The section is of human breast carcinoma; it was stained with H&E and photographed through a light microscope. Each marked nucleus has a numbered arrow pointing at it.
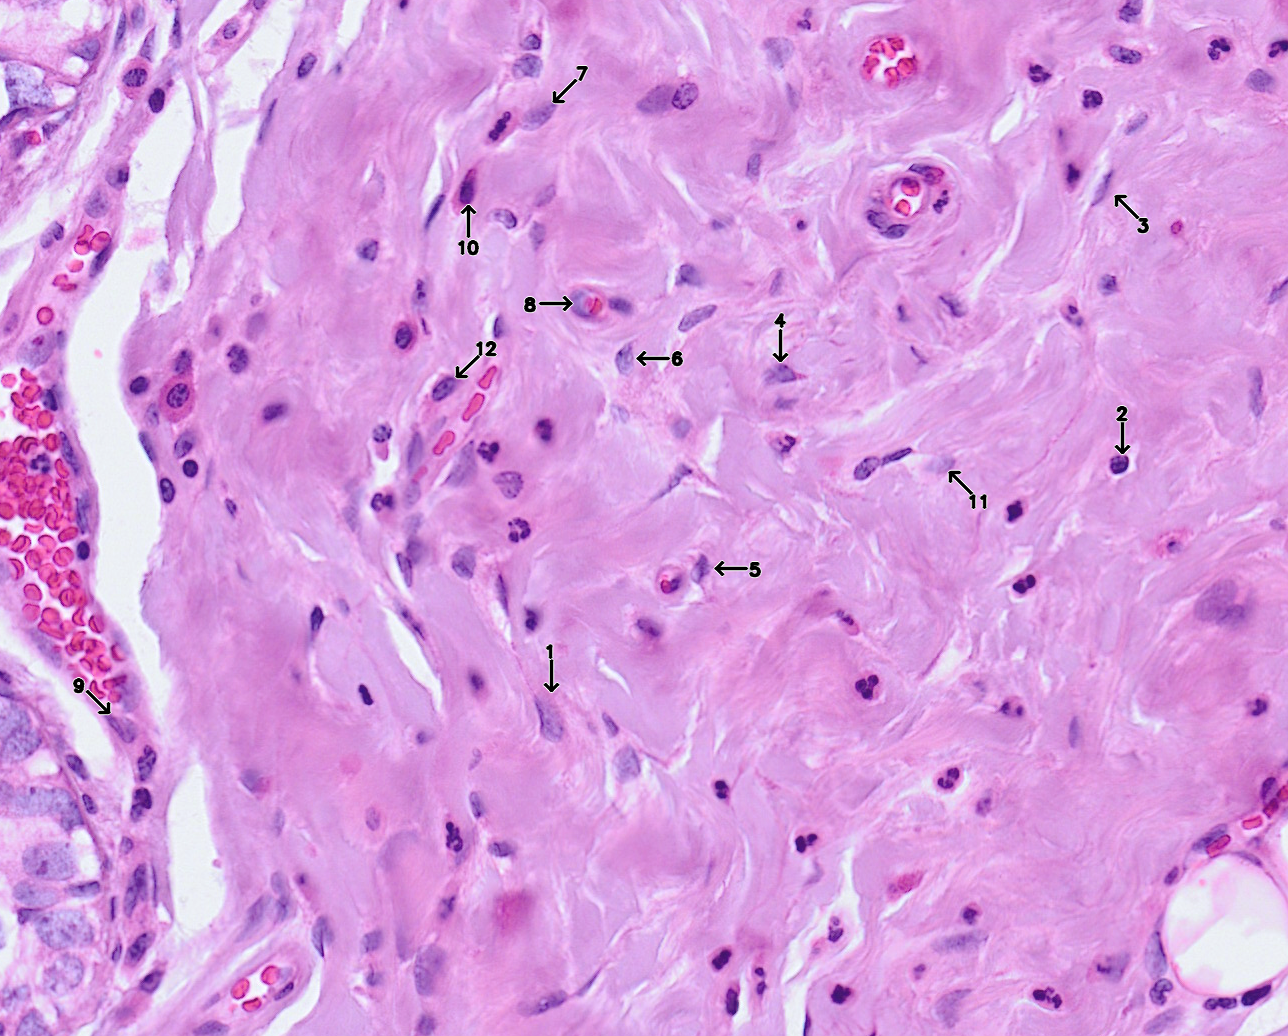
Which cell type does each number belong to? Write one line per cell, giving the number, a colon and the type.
1: fibroblast
2: lymphocyte
3: fibroblast
4: fibroblast
5: fibroblast
6: fibroblast
7: fibroblast
8: endothelial cell
9: endothelial cell
10: mast cell
11: fibroblast
12: mast cell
